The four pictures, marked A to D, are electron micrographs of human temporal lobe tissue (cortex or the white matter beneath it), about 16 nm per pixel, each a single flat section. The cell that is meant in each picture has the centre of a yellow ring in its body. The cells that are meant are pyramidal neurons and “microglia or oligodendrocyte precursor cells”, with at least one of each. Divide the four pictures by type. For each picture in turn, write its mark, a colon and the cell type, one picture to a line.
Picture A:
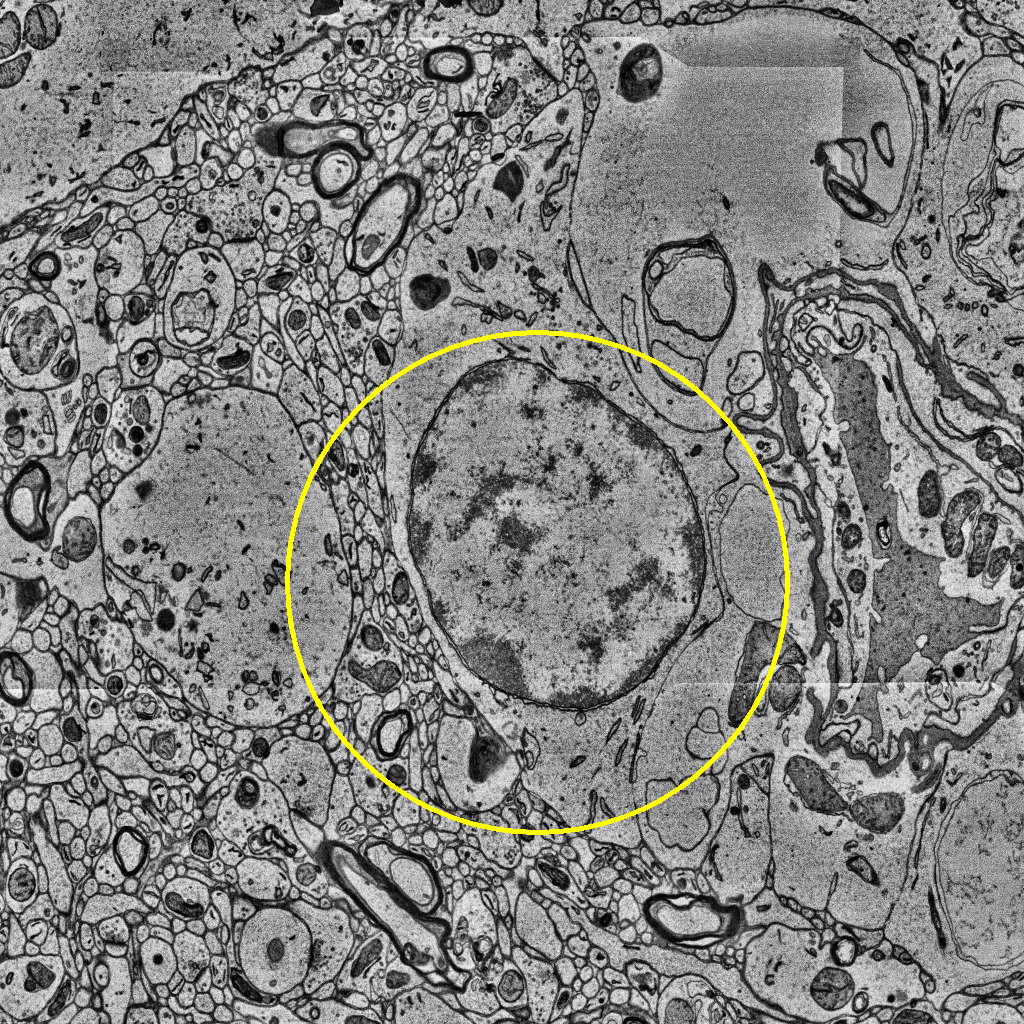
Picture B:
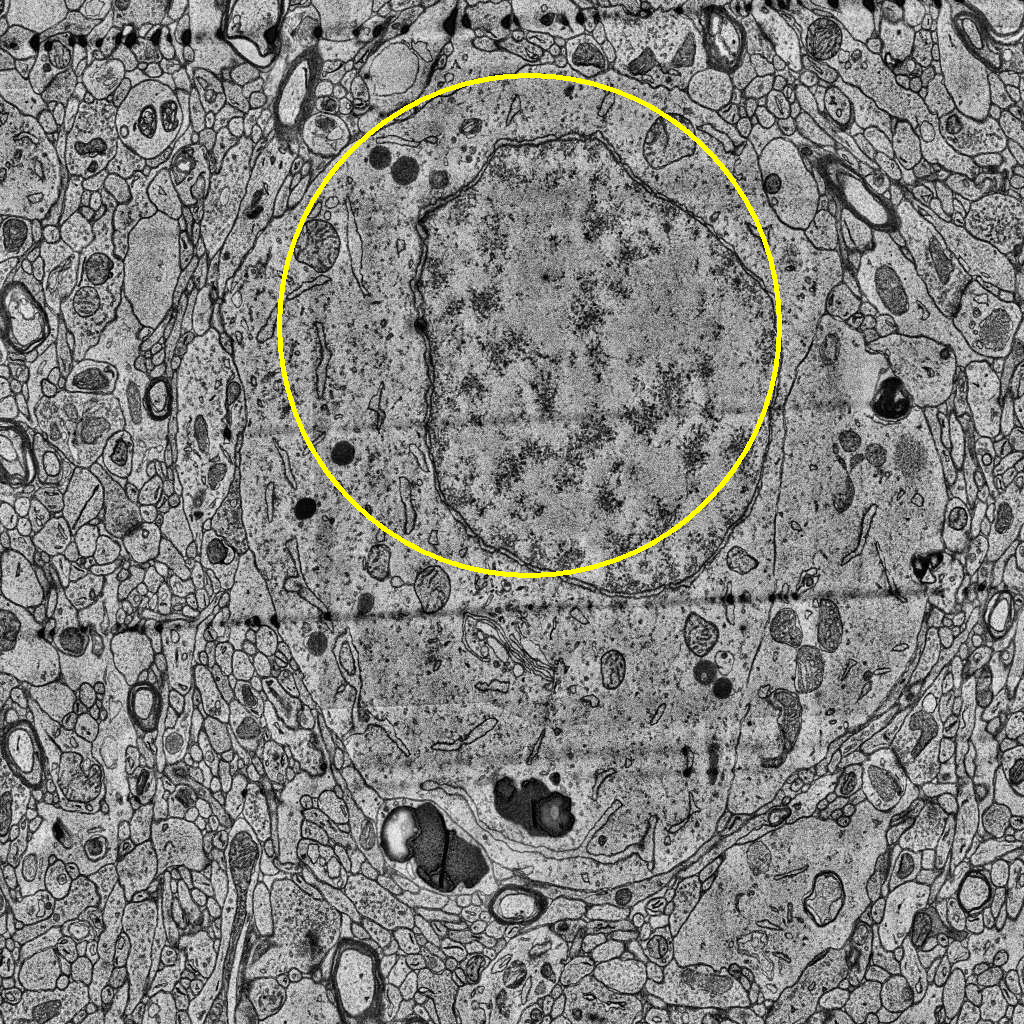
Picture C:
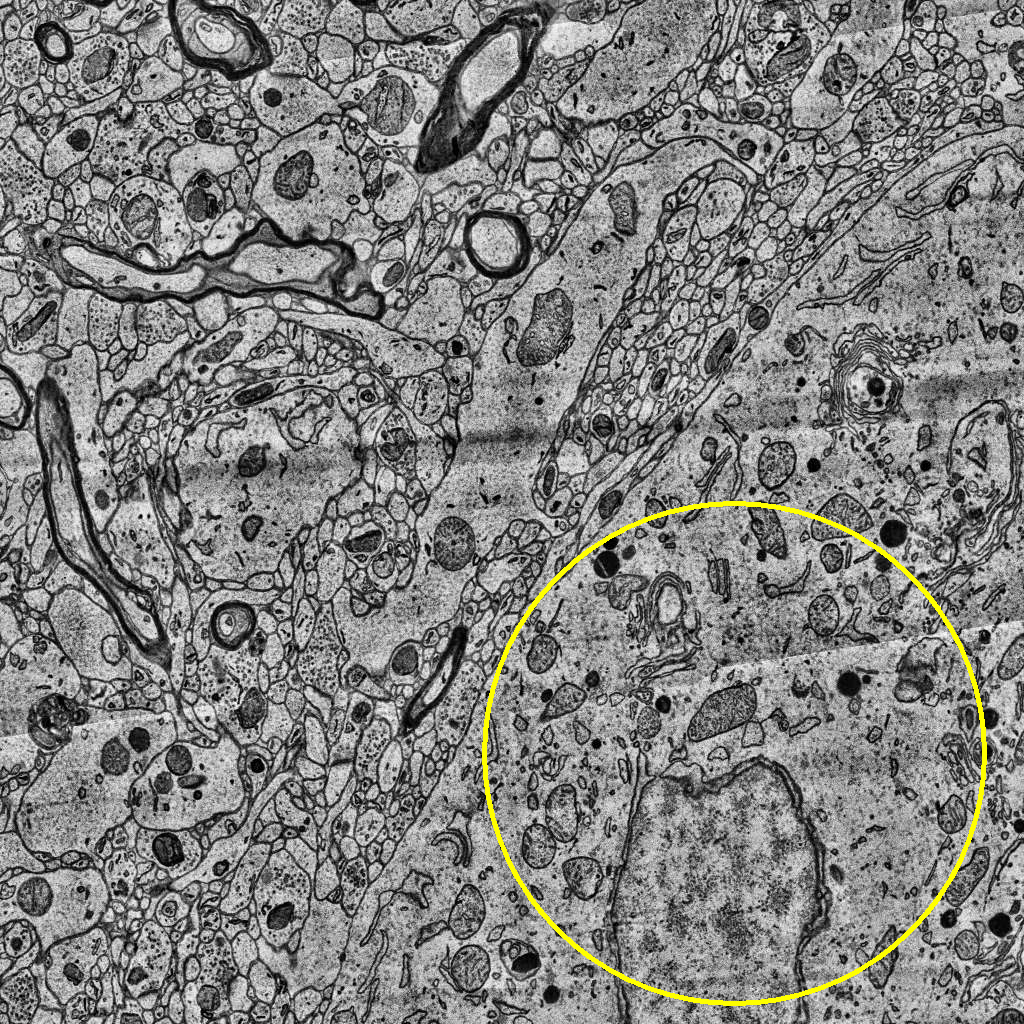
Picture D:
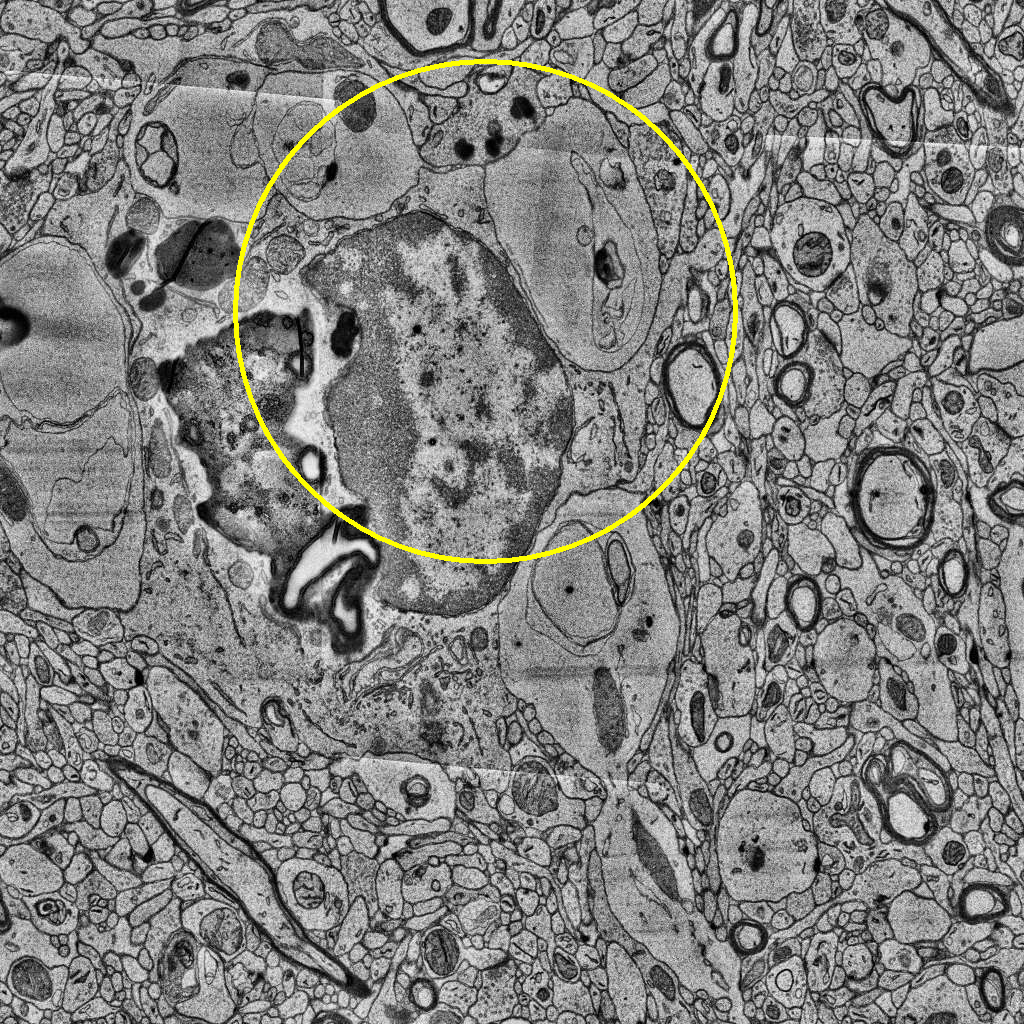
A: microglia or oligodendrocyte precursor cell
B: pyramidal neuron
C: pyramidal neuron
D: microglia or oligodendrocyte precursor cell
